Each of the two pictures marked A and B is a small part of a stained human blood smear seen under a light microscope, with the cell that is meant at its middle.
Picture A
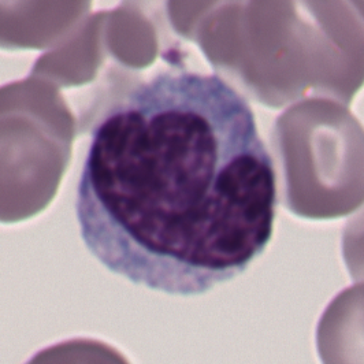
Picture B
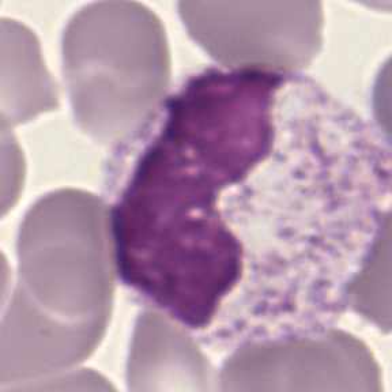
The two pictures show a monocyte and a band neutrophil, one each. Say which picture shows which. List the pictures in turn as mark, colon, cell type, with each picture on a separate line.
A: monocyte
B: band neutrophil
